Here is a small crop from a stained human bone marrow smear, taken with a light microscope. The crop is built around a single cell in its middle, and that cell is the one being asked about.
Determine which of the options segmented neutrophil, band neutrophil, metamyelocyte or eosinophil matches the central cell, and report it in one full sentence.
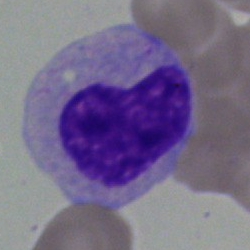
The centered cell in this crop is a metamyelocyte.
